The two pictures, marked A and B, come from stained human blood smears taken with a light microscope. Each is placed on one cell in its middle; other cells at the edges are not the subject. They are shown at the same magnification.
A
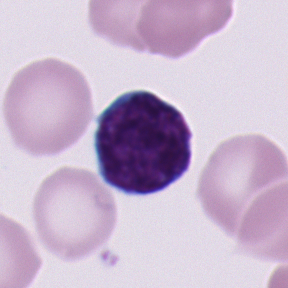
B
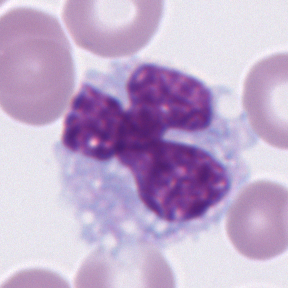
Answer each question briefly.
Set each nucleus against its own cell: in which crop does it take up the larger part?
A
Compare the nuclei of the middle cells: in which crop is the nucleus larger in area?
B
